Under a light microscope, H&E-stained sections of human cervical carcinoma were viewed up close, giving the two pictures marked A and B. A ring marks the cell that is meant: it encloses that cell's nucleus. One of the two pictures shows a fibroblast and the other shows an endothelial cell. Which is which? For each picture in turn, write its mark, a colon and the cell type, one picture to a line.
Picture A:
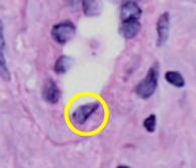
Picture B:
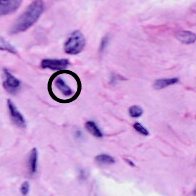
A: endothelial cell
B: fibroblast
